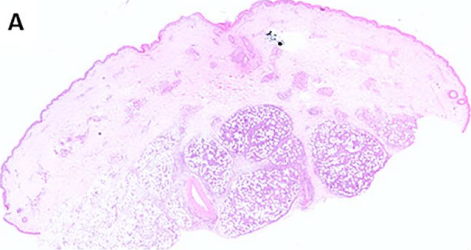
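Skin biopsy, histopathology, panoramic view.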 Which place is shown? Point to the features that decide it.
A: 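Epidermis runs along the top and right edge. Dense purple infiltrate fills rounded lobules of fat in the lower part of the section. The upper dermis is largely spared.
Subcutaneous fat lobules.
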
